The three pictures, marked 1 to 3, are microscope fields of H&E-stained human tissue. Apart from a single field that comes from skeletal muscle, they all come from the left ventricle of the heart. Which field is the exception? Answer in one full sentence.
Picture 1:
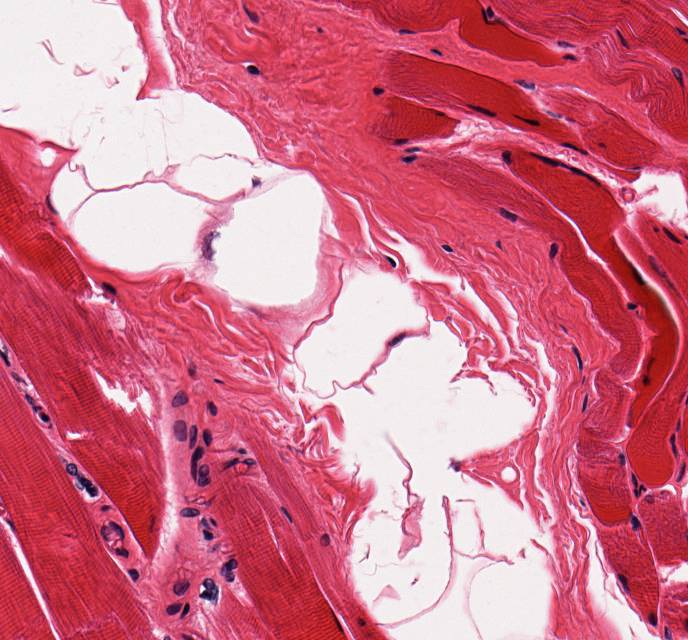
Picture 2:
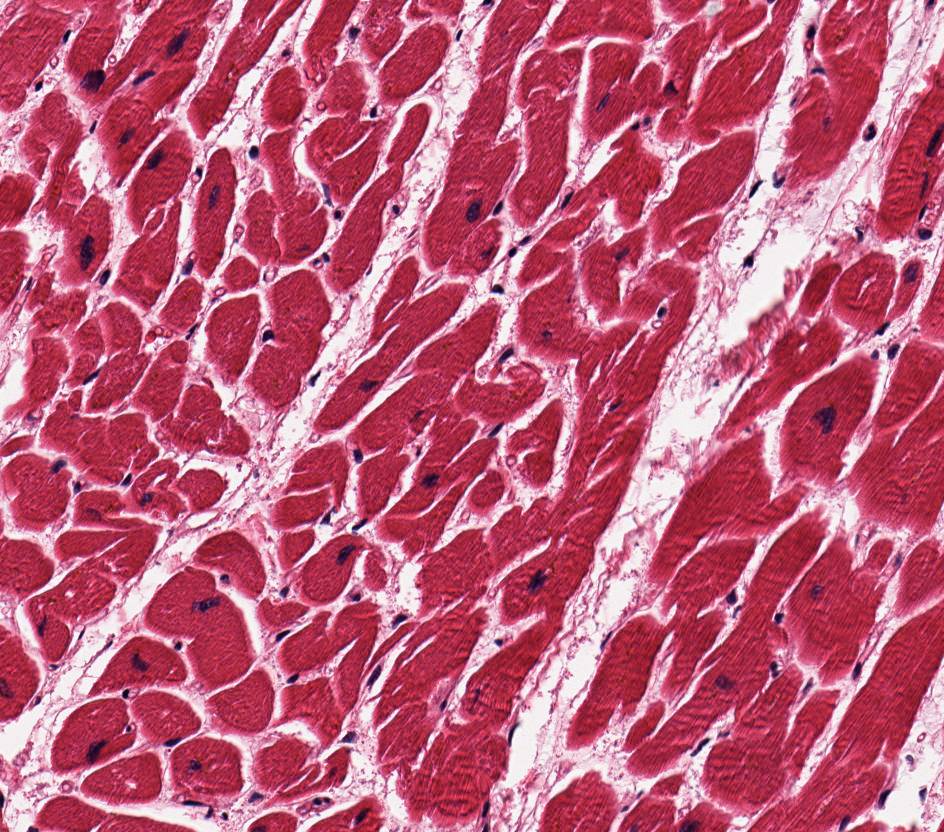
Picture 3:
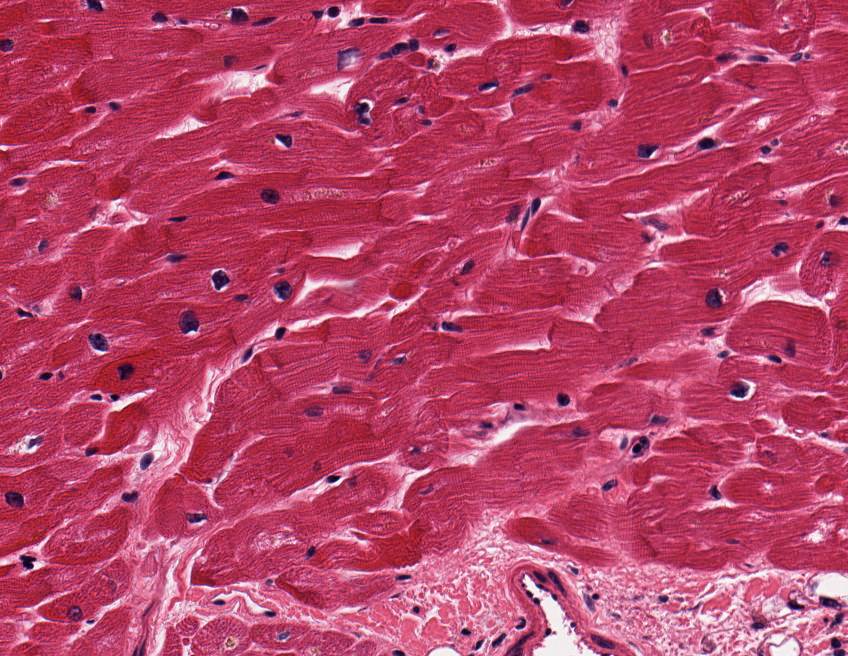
It is picture 1 that comes from skeletal muscle.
